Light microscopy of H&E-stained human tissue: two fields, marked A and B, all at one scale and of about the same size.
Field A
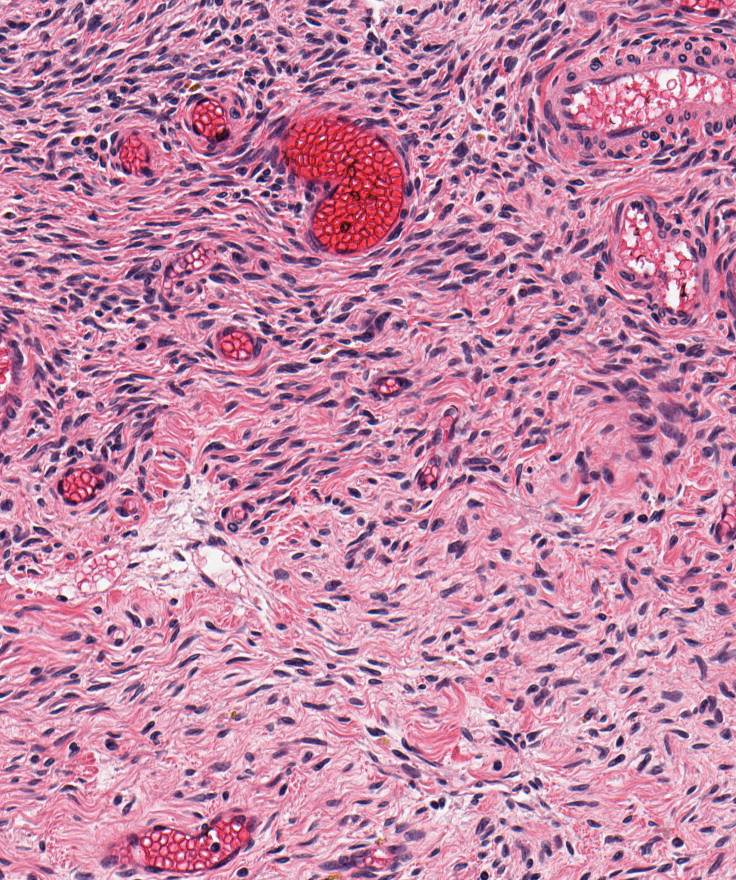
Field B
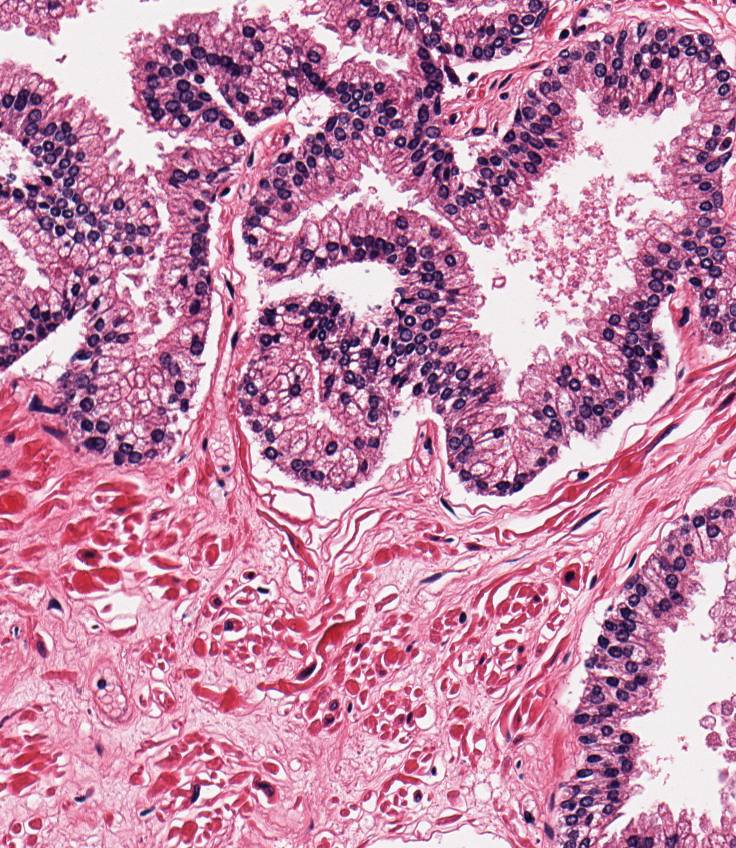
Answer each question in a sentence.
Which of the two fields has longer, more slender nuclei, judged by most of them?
On the whole the nuclei of field A are more drawn out than those of field B.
